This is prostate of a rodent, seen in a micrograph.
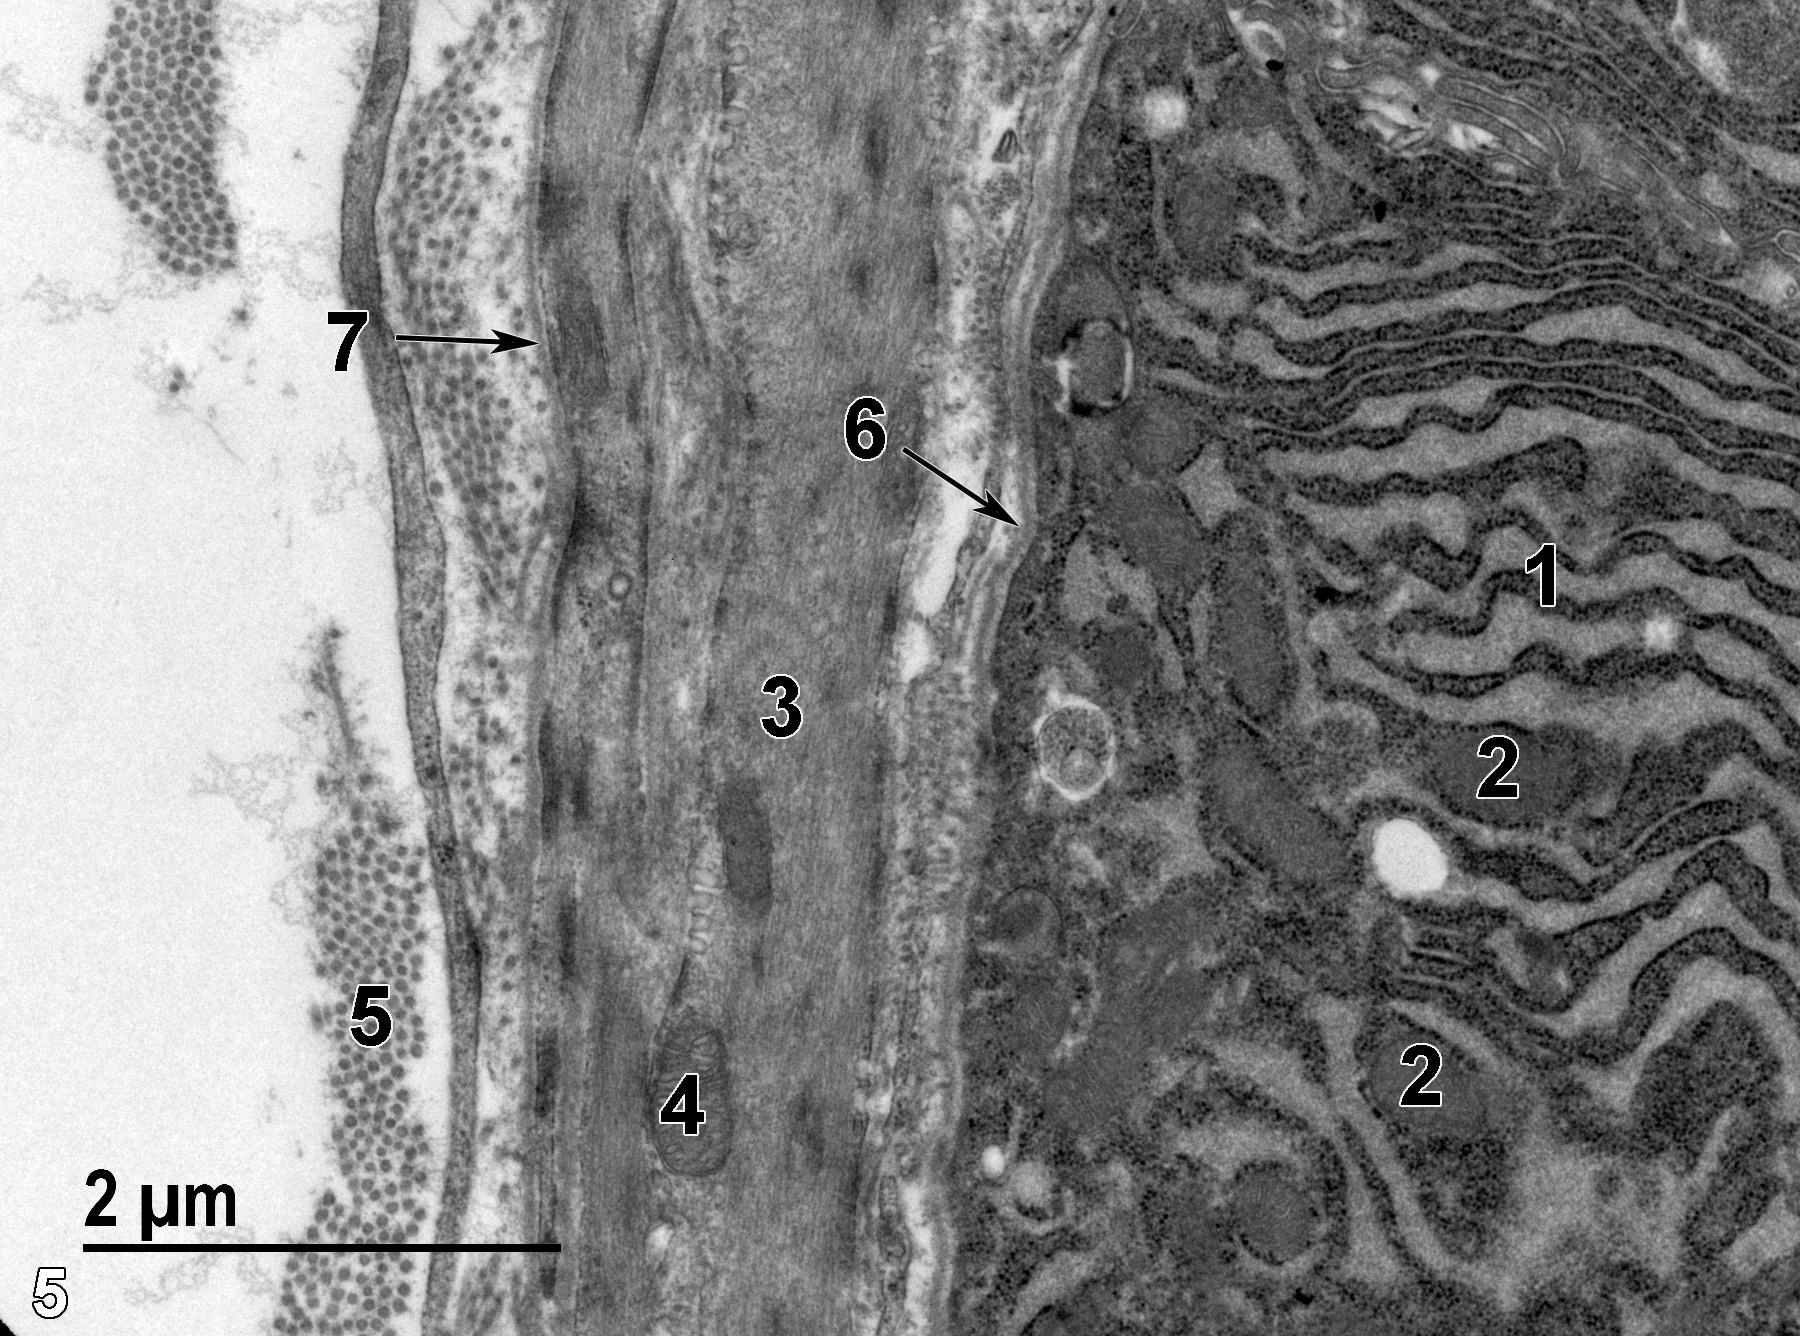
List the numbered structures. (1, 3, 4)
1. rough endoplasmic reticulum
3. actin and myosin filaments
4. mitochondria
